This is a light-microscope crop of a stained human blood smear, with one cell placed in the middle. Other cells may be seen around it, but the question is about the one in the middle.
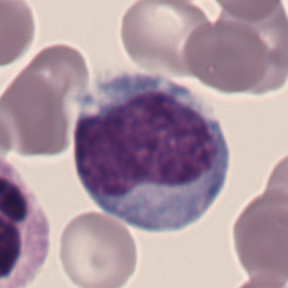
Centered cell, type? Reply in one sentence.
The cell nearest the centre of this crop is a monocyte.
